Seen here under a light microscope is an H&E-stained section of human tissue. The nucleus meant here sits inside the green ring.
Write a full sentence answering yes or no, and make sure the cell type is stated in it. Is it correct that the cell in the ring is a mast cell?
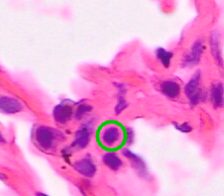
Yes, the identification stands: the cell in the ring is a mast cell.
